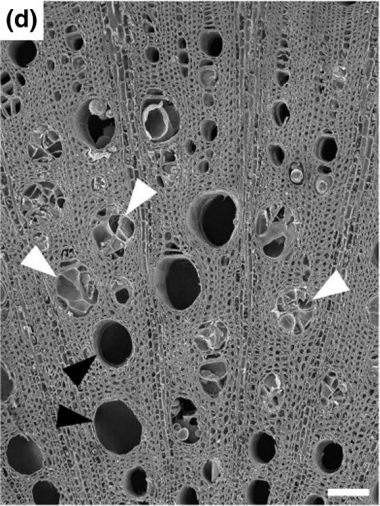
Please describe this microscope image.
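Transverse view of secondary xylem with large vessels set in a ground of small thick-walled cells crossed by radial rows of rays. Many vessels are completely or partially filled with thin-walled, bubble-like tyloses that divide the lumen into compartments. Other vessels of similar size remain open, with empty dark lumens and smooth walls. Occluded and open vessels lie intermixed across the field.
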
